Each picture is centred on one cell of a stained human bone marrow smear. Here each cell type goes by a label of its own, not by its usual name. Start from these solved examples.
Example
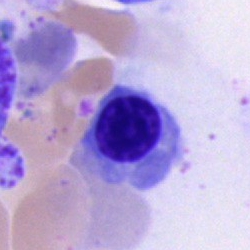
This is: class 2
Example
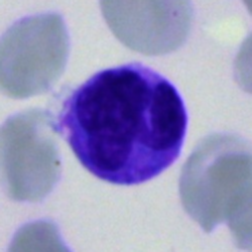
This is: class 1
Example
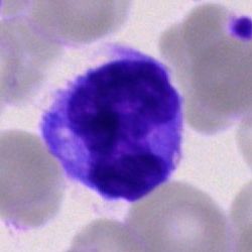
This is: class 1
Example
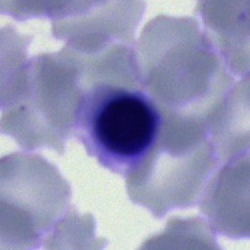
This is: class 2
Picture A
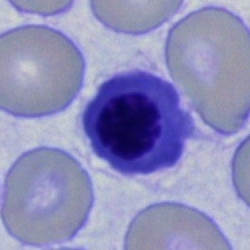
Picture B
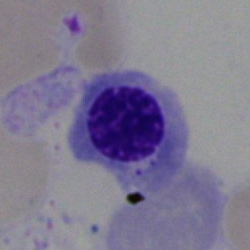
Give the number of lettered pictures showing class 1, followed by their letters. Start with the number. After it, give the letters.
0, none of them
